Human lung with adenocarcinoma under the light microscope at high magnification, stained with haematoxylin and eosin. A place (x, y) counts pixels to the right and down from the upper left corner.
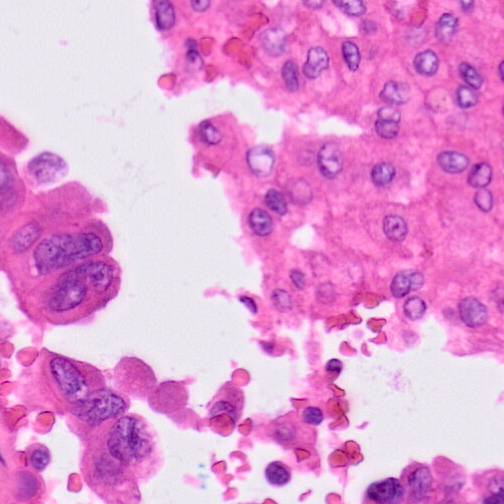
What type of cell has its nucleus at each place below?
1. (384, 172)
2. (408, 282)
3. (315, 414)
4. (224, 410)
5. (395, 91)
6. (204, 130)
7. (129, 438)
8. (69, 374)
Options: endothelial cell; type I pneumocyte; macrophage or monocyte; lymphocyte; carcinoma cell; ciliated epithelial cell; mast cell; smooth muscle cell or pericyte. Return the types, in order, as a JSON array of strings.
["macrophage or monocyte", "macrophage or monocyte", "lymphocyte", "macrophage or monocyte", "macrophage or monocyte", "macrophage or monocyte", "carcinoma cell", "carcinoma cell"]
